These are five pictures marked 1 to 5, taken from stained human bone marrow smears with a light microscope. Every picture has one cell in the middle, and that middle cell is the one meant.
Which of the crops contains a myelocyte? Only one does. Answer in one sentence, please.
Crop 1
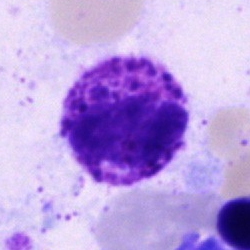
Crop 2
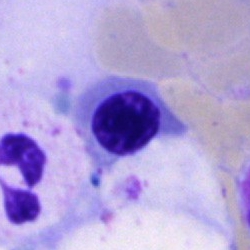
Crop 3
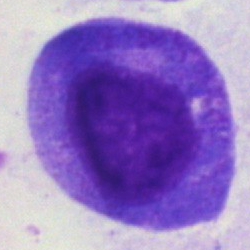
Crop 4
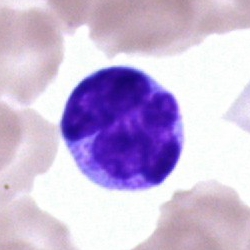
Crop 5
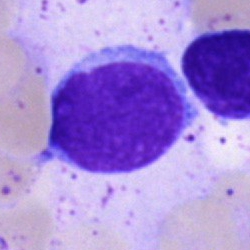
In this set, crop 3 is the one showing a myelocyte.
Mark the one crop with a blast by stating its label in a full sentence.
Crop 5 is the one in the set with a blast at the center.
